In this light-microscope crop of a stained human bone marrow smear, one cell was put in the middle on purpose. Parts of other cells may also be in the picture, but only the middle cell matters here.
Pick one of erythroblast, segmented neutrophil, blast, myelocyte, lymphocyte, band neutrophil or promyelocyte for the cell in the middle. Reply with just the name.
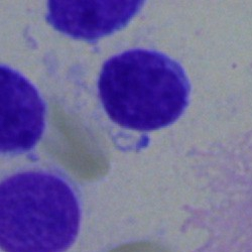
lymphocyte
